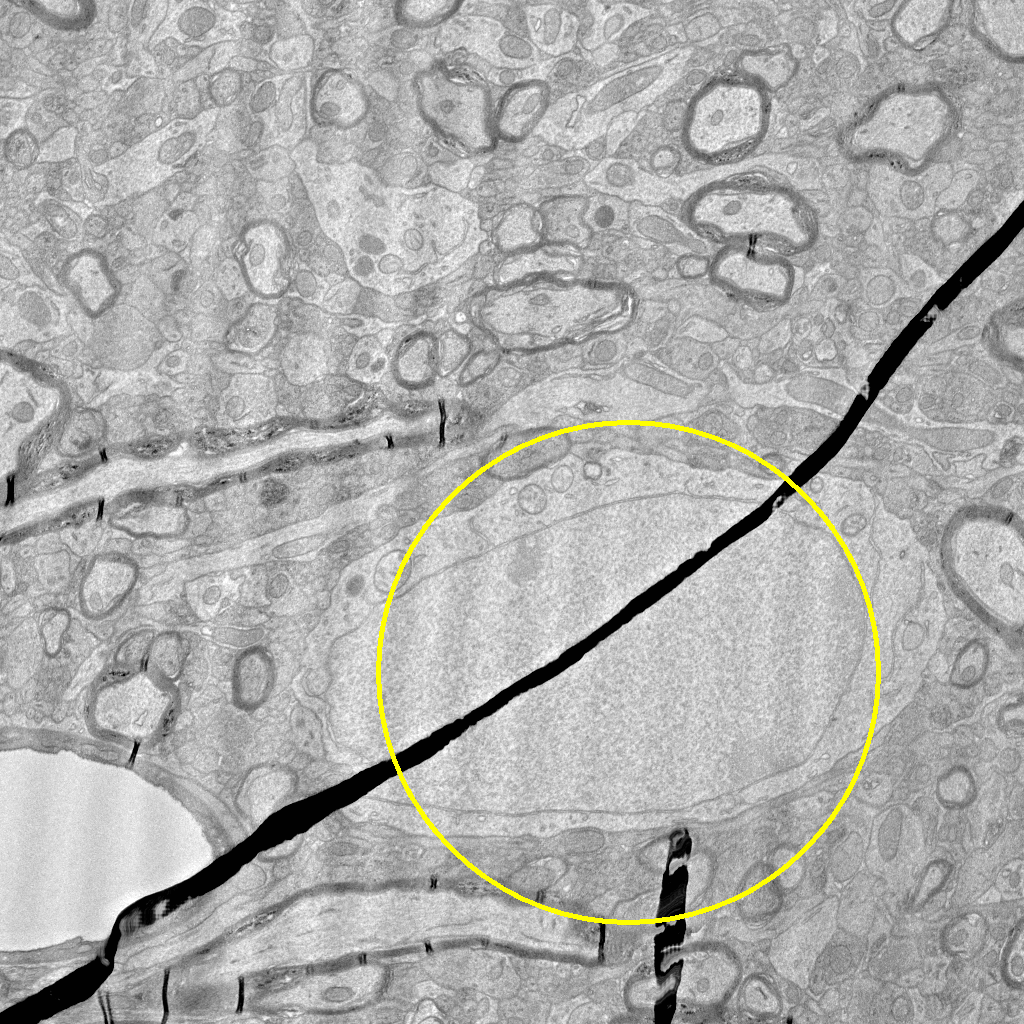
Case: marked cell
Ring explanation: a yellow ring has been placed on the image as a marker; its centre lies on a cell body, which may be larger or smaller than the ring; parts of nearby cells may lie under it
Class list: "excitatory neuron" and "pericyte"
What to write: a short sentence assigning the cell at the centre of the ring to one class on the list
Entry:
The cell at the ring's centre is an excitatory neuron.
